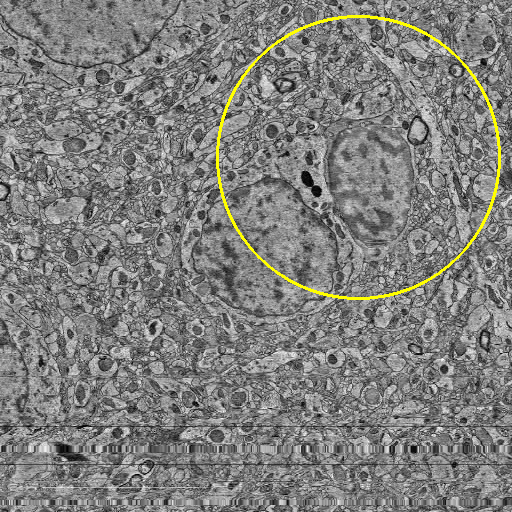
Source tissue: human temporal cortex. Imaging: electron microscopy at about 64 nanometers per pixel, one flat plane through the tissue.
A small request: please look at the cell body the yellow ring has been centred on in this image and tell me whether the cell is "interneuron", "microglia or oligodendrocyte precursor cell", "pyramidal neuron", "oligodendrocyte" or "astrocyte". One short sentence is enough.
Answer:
The cell marked by the ring is an oligodendrocyte.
